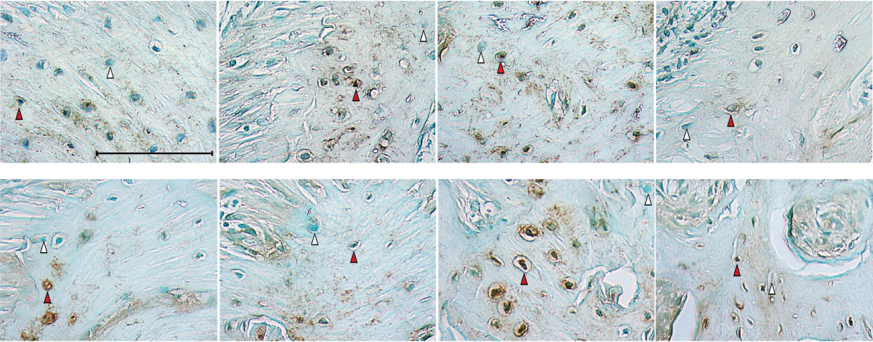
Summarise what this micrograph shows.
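These are sections of bone, with osteocytes lying singly in small oval lacunae scattered through a pale blue-green, fibrous bone matrix. Some osteocytes and their lacunae are outlined by brown staining, as at the red arrowheads. Others show no brown and only a bluish nucleus, as at the white arrowheads.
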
